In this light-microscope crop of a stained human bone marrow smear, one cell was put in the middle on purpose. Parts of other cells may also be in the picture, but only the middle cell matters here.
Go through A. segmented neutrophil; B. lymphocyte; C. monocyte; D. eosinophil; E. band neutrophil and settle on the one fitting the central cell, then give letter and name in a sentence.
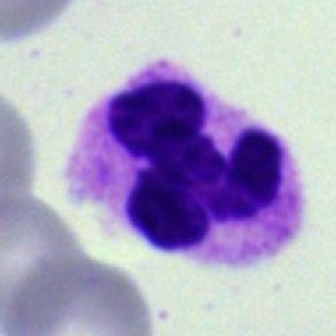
The cell at the centre is a segmented neutrophil, and option A accordingly is correct.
